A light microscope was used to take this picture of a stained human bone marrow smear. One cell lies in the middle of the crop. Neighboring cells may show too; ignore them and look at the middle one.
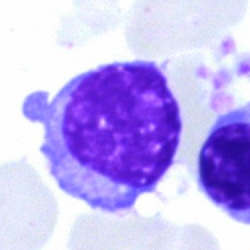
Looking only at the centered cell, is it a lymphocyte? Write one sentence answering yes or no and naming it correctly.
Yes, the cell in the exact middle is a lymphocyte.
